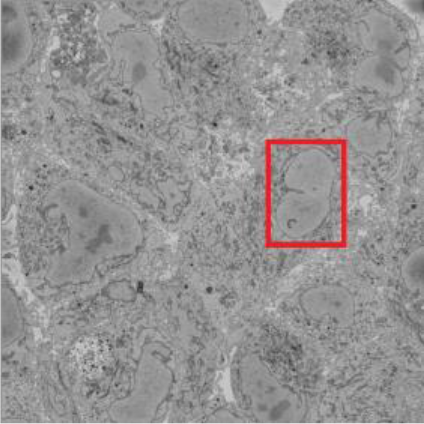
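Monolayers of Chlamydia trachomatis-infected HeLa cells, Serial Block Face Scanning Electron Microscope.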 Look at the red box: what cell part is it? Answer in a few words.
Nucleus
